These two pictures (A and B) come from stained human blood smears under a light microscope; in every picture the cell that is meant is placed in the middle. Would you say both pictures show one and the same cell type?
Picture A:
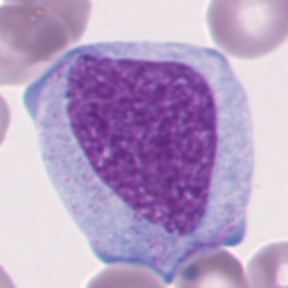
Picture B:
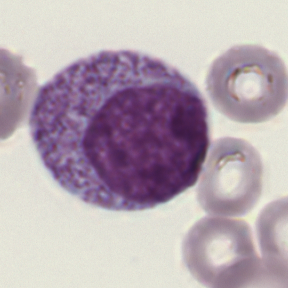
no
